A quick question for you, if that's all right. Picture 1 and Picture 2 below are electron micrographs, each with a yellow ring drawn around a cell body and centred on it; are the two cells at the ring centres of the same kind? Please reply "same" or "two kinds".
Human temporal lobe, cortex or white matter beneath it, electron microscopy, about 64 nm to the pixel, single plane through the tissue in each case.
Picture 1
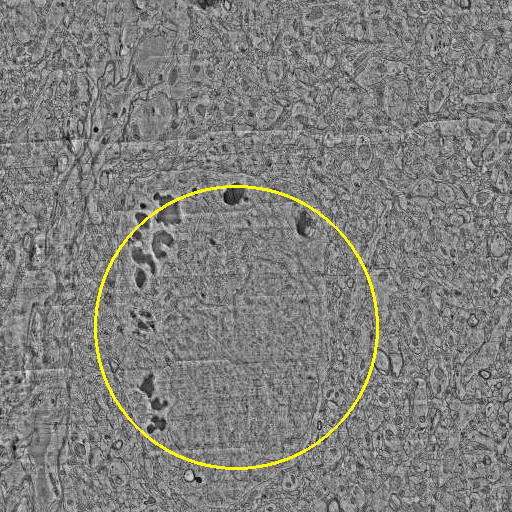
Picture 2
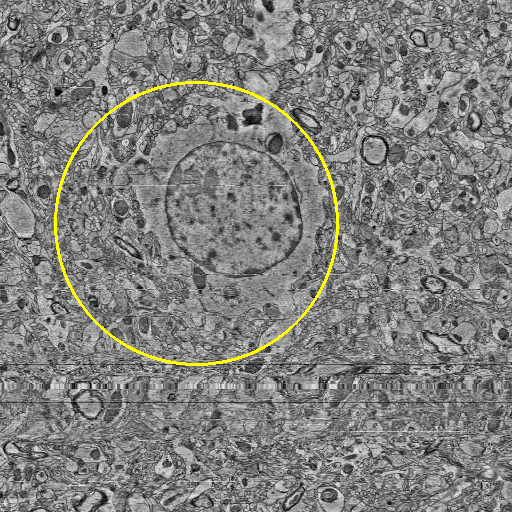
two kinds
